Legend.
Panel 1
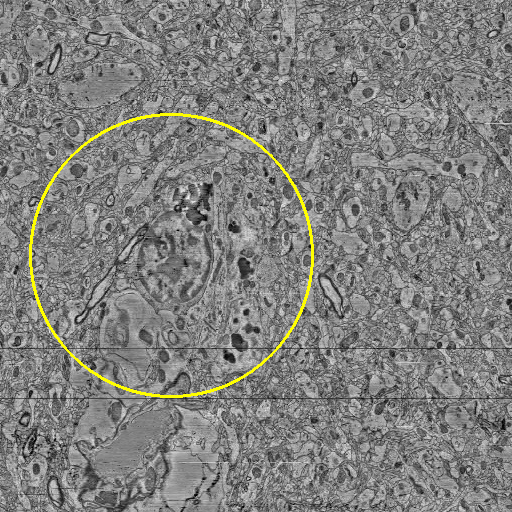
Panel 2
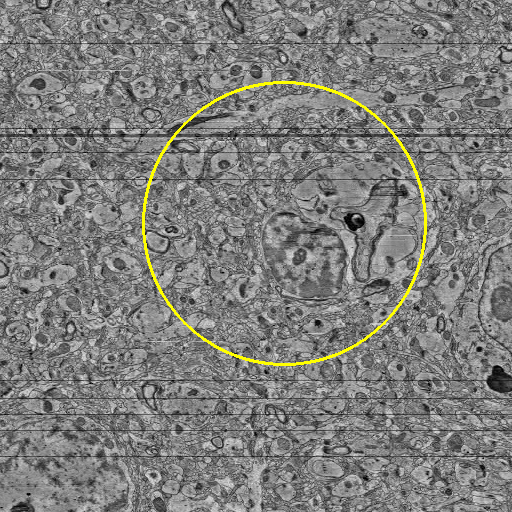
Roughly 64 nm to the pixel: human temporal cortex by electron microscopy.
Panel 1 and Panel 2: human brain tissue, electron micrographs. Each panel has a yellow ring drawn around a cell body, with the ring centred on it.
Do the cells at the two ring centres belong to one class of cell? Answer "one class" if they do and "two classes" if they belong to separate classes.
one class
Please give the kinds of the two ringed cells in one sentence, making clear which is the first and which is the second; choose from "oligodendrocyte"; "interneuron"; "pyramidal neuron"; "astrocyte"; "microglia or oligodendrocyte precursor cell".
Each cell at the centre of a ring is an oligodendrocyte.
